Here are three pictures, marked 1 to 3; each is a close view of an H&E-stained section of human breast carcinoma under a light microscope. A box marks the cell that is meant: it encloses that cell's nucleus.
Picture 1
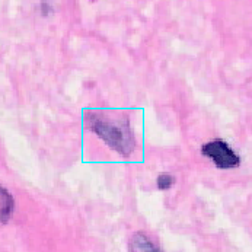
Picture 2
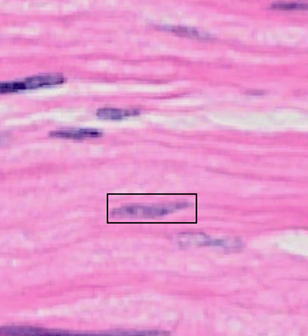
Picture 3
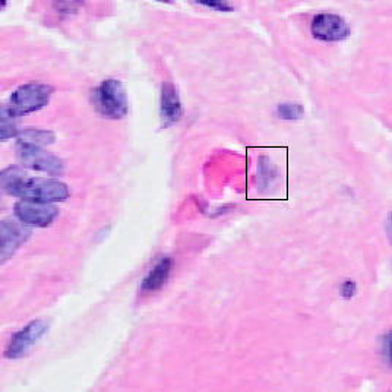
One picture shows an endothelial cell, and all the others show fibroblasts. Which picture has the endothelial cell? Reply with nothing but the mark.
3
